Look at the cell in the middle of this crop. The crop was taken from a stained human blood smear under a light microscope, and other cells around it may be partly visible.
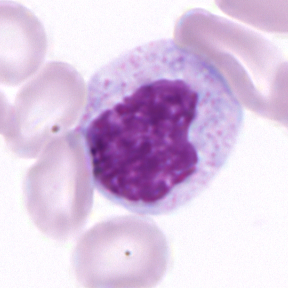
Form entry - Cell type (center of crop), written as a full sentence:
The cell centered in this field of view is a metamyelocyte.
